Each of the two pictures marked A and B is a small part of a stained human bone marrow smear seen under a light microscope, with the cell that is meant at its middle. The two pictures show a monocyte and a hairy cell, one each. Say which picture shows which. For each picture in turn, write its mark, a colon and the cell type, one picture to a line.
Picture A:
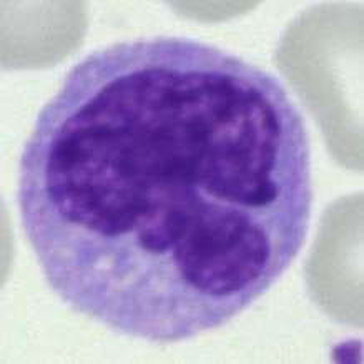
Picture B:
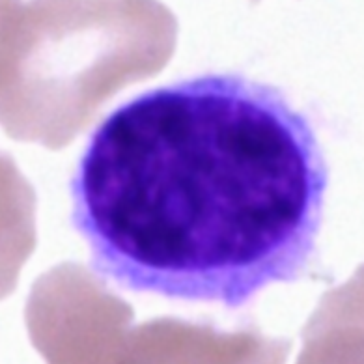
A: monocyte
B: hairy cell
